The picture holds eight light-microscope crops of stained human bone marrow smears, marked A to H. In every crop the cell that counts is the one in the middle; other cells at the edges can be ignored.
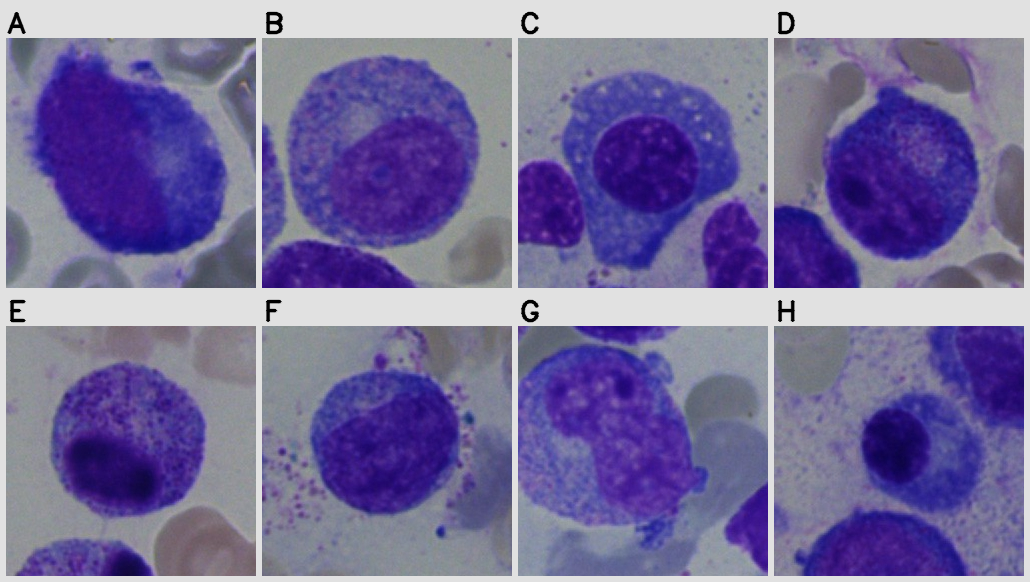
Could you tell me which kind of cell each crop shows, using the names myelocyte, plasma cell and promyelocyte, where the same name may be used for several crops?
A: promyelocyte
B: promyelocyte
C: plasma cell
D: promyelocyte
E: myelocyte
F: myelocyte
G: promyelocyte
H: plasma cell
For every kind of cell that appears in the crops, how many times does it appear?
promyelocyte: 4
plasma cell: 2
myelocyte: 2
